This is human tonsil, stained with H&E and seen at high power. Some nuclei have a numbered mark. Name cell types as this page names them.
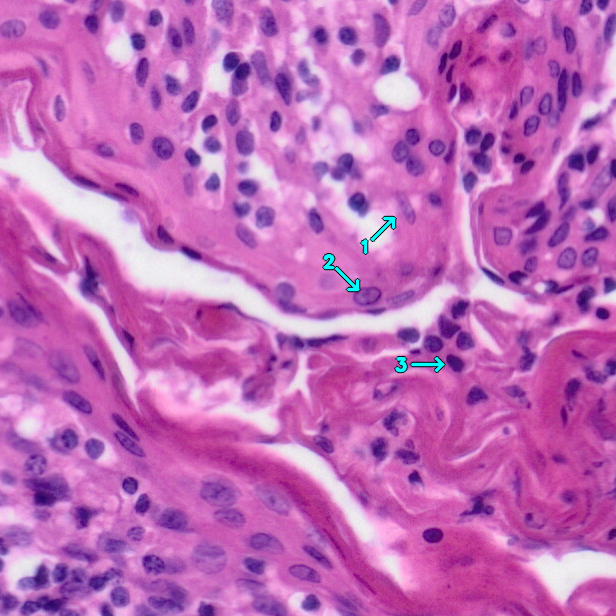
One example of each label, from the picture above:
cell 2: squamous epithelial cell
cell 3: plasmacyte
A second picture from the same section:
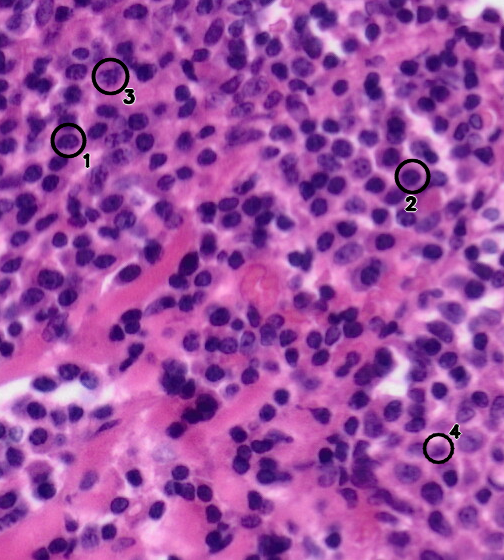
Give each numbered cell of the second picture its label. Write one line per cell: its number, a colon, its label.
1: plasmacyte
2: plasmacyte
3: plasmacyte
4: squamous epithelial cell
